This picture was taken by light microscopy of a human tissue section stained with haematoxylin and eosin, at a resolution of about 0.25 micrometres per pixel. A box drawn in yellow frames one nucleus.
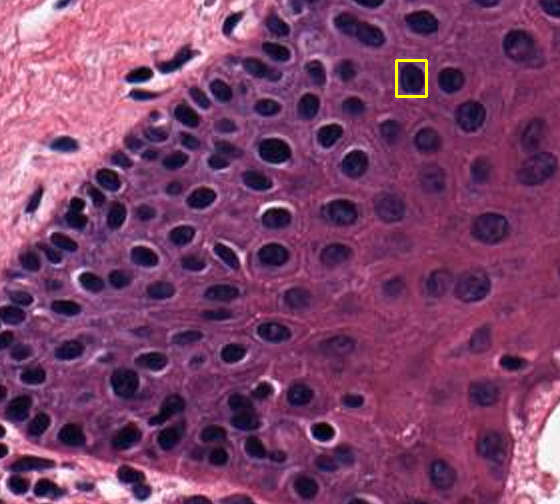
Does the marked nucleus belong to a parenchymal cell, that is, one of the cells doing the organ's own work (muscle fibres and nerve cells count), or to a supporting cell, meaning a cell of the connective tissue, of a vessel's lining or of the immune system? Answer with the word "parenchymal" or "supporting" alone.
parenchymal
